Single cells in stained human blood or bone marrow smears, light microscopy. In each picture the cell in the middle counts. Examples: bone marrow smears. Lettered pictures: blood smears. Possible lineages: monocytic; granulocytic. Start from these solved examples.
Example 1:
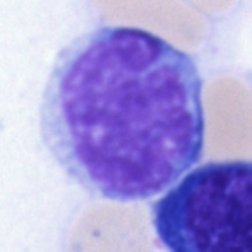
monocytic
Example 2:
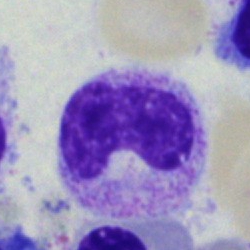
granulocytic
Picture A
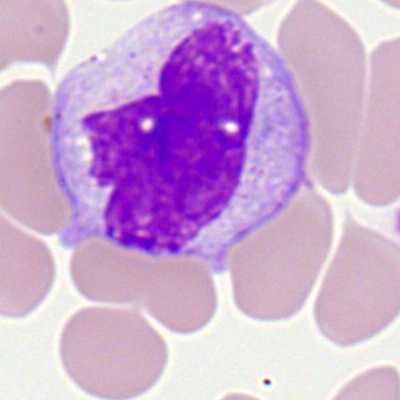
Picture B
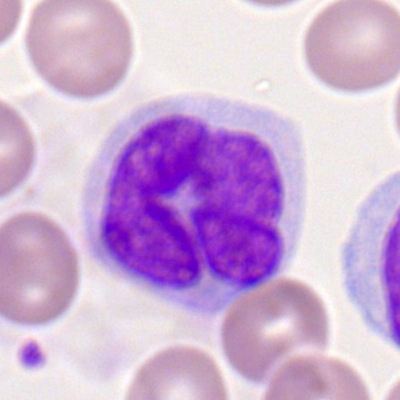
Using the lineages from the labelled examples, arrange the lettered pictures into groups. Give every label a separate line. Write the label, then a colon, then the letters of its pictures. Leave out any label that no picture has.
monocytic: A, B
